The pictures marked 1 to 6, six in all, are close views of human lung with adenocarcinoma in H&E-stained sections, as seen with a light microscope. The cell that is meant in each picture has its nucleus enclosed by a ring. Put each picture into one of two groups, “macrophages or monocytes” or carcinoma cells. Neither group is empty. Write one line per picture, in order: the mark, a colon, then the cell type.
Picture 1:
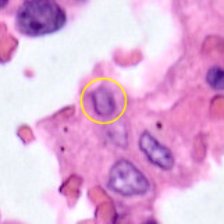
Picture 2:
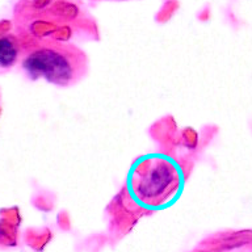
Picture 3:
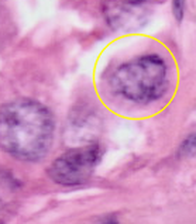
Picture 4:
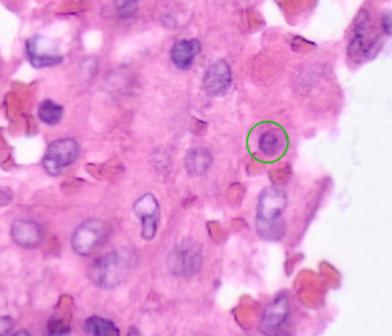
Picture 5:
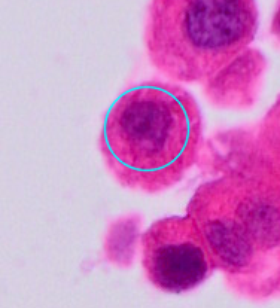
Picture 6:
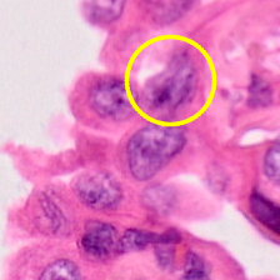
1: macrophage or monocyte
2: macrophage or monocyte
3: carcinoma cell
4: macrophage or monocyte
5: carcinoma cell
6: carcinoma cell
